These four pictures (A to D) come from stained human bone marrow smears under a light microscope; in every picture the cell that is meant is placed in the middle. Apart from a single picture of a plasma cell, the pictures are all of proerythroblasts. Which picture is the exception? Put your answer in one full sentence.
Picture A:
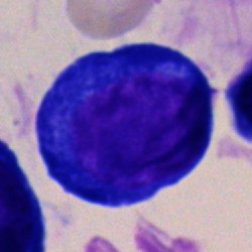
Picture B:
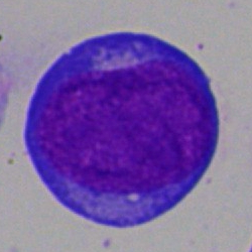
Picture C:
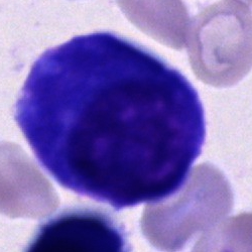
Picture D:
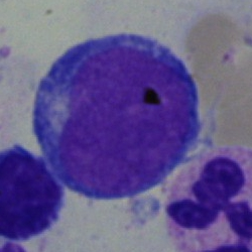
The plasma cell is the one in picture C.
